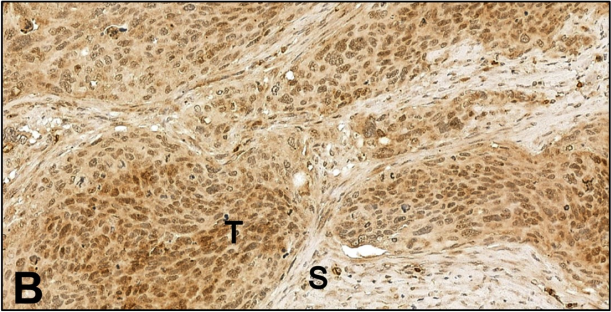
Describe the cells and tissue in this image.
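Here large nests of tumour cells are separated by narrow bands of paler stroma. The tumour cells are packed tightly, with oval nuclei and cytoplasm that is stained diffusely brown throughout the nests. The stroma between them is made of streaming spindle-shaped fibroblasts with elongated nuclei, stained only faintly brown.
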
